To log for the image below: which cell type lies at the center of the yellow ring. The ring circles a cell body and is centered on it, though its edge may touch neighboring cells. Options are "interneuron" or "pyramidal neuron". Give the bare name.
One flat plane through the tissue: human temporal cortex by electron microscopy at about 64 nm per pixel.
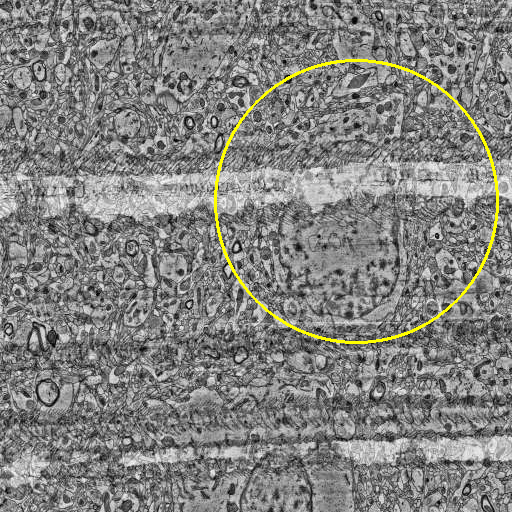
interneuron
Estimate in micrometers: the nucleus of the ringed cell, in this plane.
The ringed cell's nucleus is about 11 micrometres long and 8 micrometres wide in this plane.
